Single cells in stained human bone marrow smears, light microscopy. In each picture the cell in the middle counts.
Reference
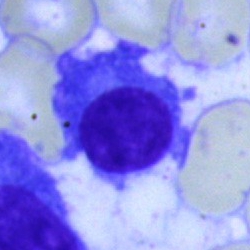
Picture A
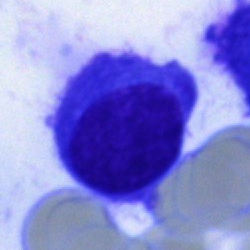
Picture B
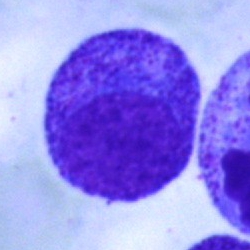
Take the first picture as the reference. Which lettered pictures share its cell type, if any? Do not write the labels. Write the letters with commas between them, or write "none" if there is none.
A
